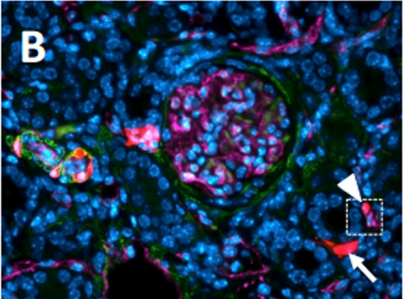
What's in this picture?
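This is kidney cortex with a large round glomerulus in the centre, its tuft packed with blue nuclei and magenta-lined capillary loops. Around it lie tubules whose epithelial nuclei form rings around small lumens, with thin green threads running in the spaces between them. Scattered bright red cells sit close to small magenta-lined vessels in the interstitium, one of them boxed beside a microvessel. Another red cell lies a little apart, not clearly wrapped around any vessel. At the left edge a vessel cross-section shows green and red cells together in its wall.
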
